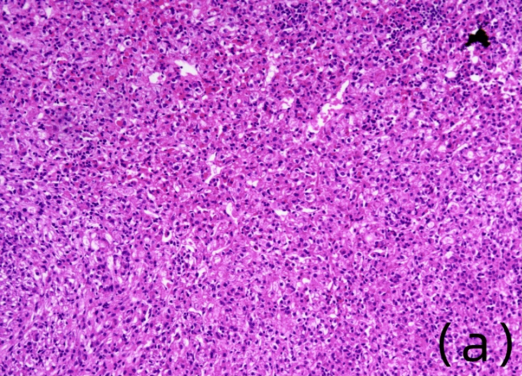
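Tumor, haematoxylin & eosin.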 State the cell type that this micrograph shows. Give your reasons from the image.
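Sheets of polygonal cells with ample pink cytoplasm. Nuclei vary in size and staining intensity. No fat vacuoles of adipocytes are seen.
Answer: pleomorphic medium-to-large epithelioid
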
